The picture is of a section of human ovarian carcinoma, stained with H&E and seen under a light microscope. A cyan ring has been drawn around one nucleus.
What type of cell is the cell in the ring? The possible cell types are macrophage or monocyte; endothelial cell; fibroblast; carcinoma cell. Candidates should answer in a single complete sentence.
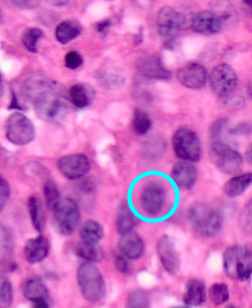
The correct response here is that the cell in the ring is a carcinoma cell.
